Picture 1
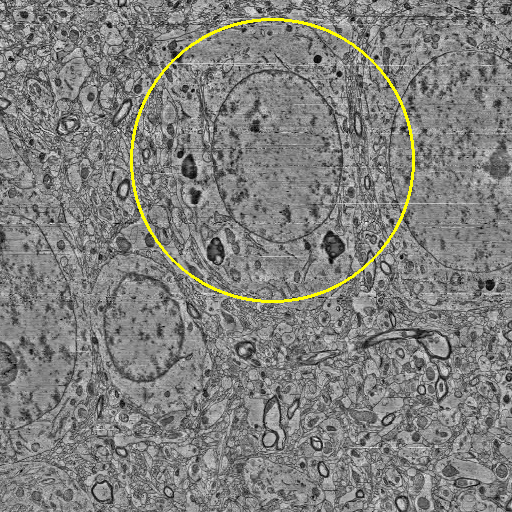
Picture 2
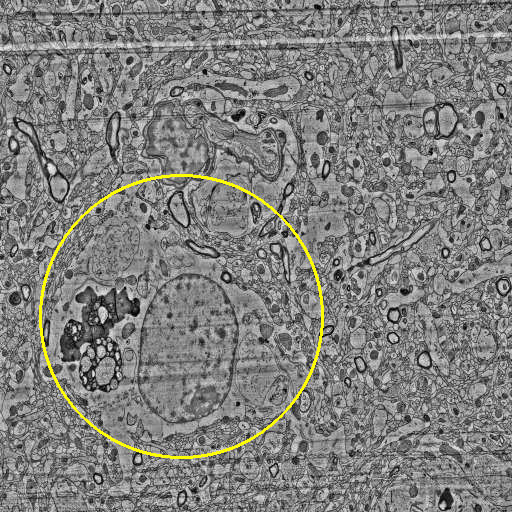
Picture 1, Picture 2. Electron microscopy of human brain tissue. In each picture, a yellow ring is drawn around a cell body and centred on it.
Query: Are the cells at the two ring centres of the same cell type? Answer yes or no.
no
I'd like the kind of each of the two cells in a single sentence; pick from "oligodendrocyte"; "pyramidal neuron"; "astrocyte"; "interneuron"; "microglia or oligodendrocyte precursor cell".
The first ring marks a pyramidal neuron, and the second ring marks an astrocyte.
